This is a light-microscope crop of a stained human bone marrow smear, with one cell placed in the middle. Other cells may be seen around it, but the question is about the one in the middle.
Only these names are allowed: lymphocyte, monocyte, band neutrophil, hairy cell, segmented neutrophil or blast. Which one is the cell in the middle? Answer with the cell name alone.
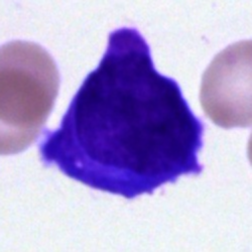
blast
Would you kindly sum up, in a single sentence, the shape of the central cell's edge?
Ragged or projecting, the border of this cell departs from a smooth contour.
